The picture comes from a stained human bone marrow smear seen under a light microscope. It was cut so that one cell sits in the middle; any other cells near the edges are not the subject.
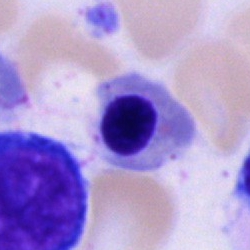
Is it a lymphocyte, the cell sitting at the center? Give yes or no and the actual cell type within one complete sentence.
No, wrong label: the middle cell is an erythroblast instead of a lymphocyte.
